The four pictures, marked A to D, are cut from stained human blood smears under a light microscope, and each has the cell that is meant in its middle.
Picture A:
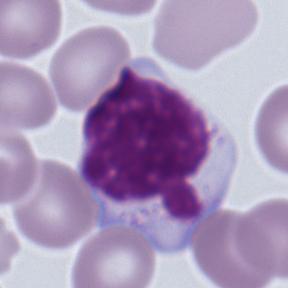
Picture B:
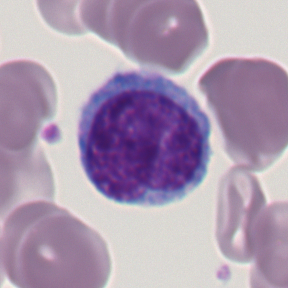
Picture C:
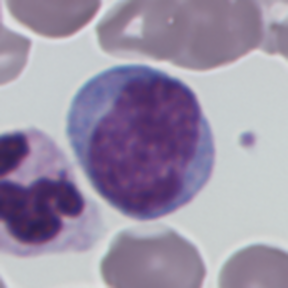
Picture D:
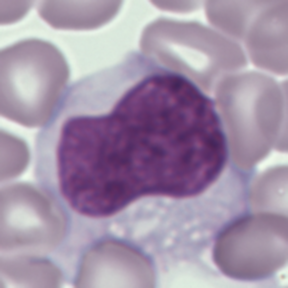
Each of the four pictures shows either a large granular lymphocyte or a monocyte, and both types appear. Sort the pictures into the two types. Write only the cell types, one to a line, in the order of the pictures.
large granular lymphocyte
monocyte
monocyte
monocyte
